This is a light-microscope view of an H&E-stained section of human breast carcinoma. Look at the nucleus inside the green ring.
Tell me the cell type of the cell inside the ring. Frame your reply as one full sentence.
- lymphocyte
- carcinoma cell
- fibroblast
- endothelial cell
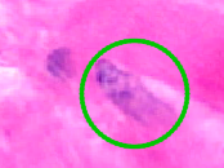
Just put down that the cell inside the ring is a fibroblast.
